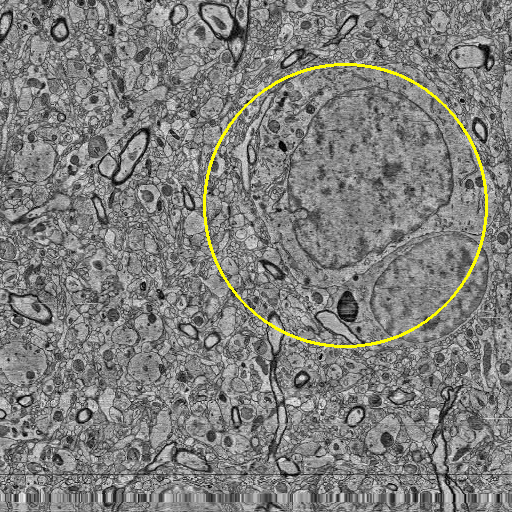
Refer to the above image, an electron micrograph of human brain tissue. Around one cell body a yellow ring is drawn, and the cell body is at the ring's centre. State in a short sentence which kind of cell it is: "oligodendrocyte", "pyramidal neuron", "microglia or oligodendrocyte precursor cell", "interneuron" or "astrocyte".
The centre of the ring falls on an interneuron.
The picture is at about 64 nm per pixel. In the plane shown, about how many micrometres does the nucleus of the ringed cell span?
The nucleus is approximately 12 micrometers long by 10 micrometers wide in this plane.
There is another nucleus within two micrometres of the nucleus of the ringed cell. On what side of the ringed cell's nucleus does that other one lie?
The second nucleus sits to the lower right of it.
